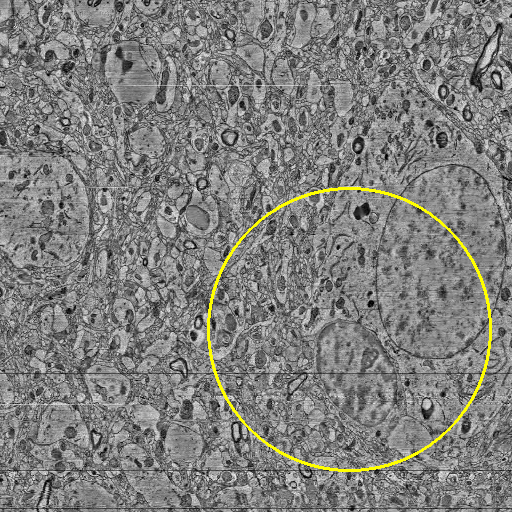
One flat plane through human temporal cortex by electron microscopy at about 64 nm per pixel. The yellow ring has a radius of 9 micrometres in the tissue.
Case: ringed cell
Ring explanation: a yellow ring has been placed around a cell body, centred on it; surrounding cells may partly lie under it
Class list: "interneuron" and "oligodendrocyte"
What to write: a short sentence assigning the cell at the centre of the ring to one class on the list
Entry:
The cell at the ring's centre is an oligodendrocyte.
